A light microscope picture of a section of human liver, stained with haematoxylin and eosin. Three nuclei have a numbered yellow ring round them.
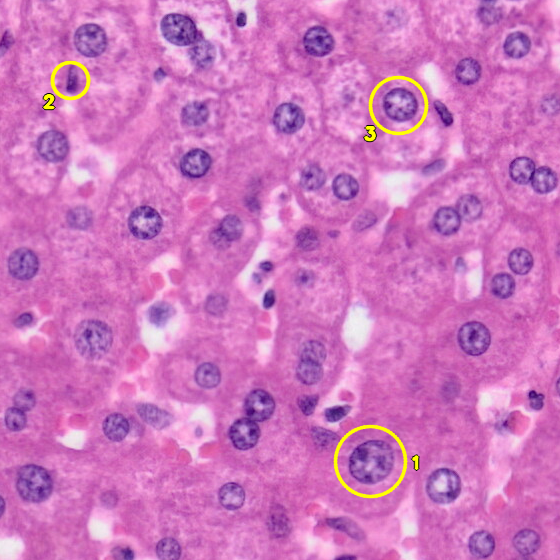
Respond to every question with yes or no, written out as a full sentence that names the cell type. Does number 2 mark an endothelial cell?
Yes, the cell with number 2 is an endothelial cell.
